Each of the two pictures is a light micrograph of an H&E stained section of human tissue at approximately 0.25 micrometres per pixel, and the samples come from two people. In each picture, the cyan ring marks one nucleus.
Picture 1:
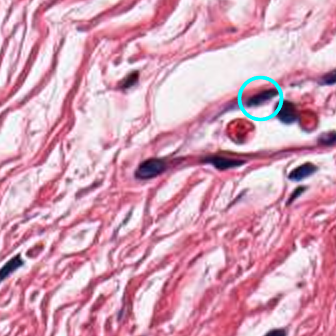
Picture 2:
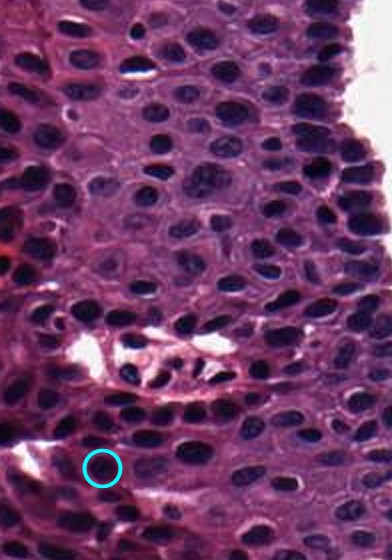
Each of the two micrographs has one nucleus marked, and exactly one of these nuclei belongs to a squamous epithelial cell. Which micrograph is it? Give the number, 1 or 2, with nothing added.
2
